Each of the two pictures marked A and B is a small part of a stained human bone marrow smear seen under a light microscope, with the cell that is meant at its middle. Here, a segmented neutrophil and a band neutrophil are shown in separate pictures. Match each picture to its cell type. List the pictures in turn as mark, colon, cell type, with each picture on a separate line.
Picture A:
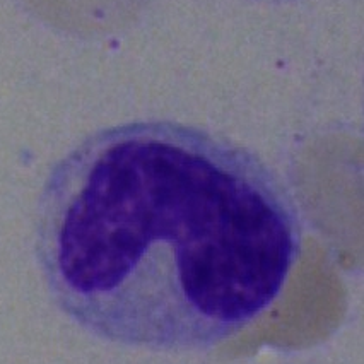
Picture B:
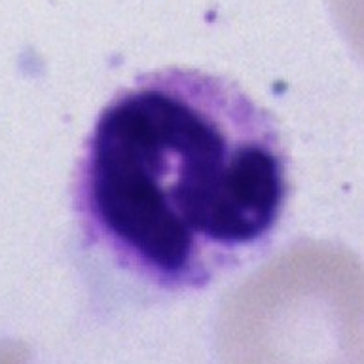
A: band neutrophil
B: segmented neutrophil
